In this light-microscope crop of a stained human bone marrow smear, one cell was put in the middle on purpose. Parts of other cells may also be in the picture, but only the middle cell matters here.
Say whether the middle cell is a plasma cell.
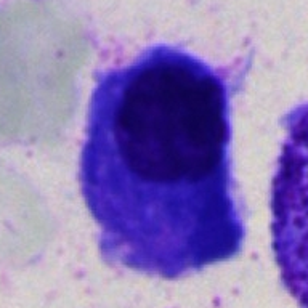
yes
